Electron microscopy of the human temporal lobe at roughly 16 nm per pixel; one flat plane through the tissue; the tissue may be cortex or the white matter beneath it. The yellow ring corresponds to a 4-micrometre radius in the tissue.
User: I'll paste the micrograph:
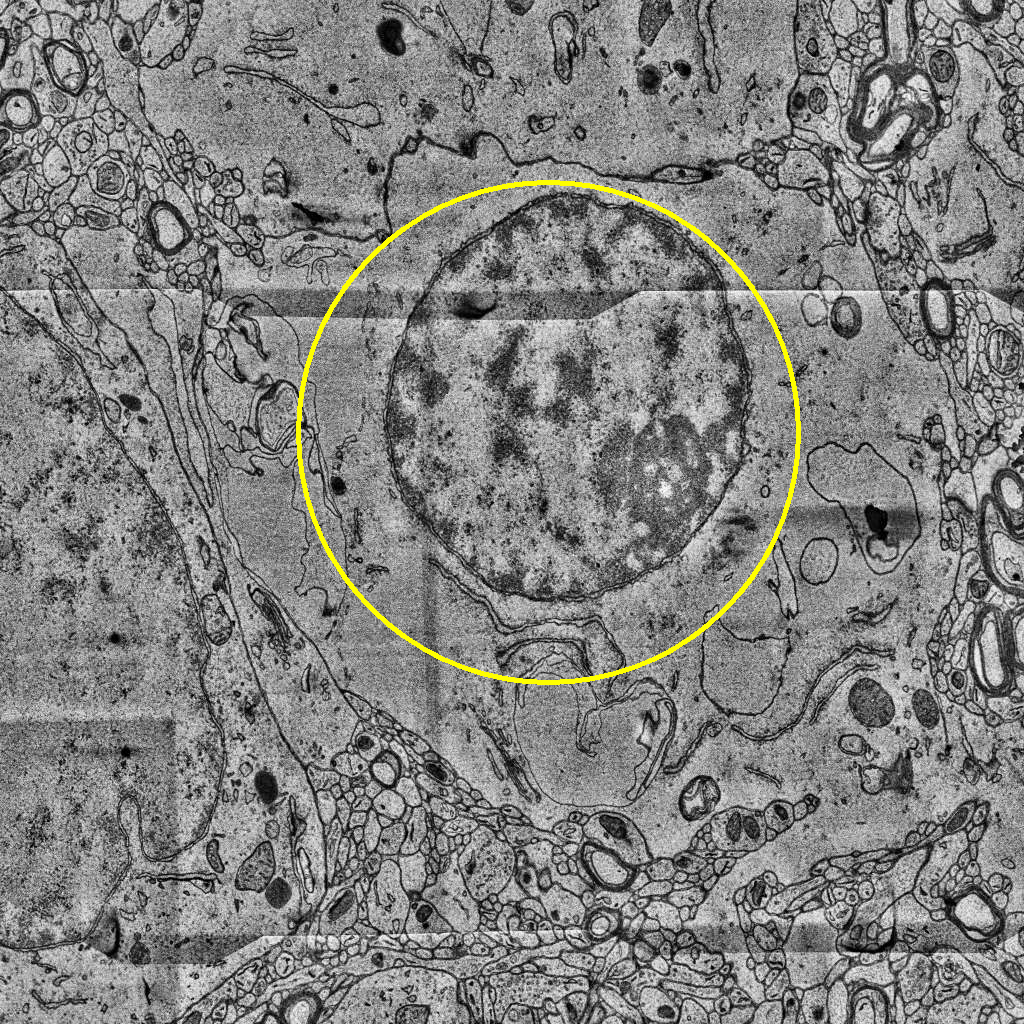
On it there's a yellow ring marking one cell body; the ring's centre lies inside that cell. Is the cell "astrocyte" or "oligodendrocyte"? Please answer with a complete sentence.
The cell at the centre of the yellow ring is an astrocyte.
